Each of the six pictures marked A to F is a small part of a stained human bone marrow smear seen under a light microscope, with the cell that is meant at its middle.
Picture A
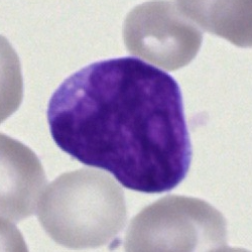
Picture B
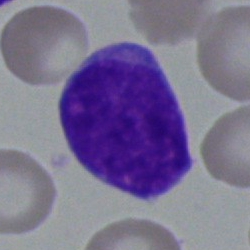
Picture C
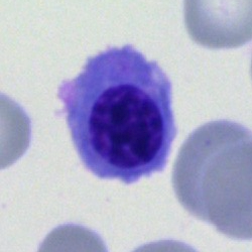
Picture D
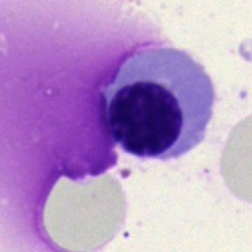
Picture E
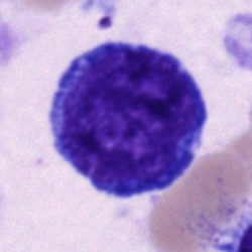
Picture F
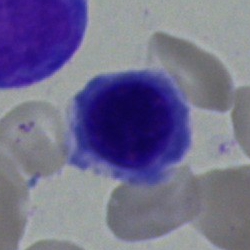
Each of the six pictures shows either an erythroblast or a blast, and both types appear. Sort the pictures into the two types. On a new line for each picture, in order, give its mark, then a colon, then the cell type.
A: blast
B: blast
C: erythroblast
D: erythroblast
E: blast
F: erythroblast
